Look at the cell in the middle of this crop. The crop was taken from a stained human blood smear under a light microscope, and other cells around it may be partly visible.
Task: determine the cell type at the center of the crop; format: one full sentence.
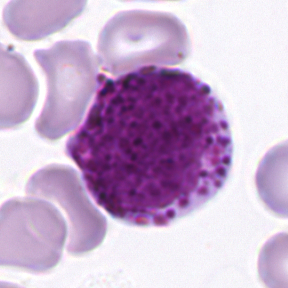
The middle position in this crop is taken by a basophil.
